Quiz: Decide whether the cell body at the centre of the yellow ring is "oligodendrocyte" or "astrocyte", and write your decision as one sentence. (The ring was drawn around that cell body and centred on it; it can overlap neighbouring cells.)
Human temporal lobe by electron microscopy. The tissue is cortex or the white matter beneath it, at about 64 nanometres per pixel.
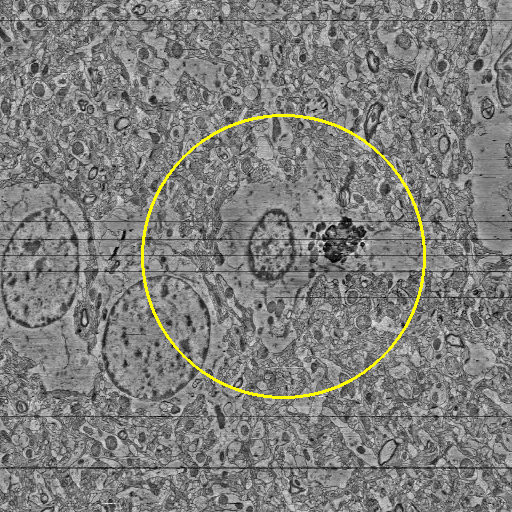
The cell the ring is centred on is an astrocyte.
